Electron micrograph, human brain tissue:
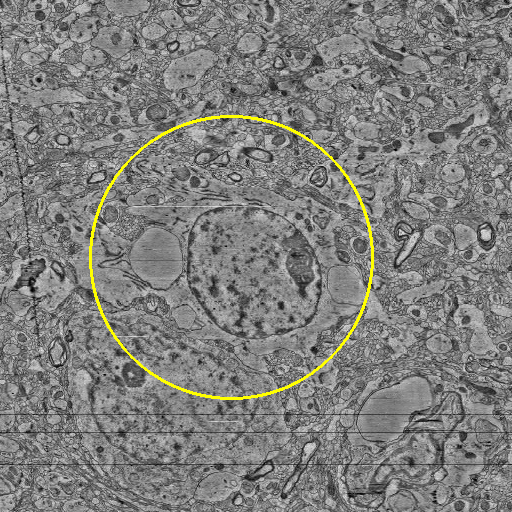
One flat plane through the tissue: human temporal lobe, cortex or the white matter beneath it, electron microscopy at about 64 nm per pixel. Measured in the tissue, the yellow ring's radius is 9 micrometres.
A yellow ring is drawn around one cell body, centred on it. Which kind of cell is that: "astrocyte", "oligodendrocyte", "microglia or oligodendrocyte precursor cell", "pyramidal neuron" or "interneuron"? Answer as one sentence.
It is an astrocyte at the centre of the ring.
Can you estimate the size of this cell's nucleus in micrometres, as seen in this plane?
About 10 by 8 micrometers, in this plane.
